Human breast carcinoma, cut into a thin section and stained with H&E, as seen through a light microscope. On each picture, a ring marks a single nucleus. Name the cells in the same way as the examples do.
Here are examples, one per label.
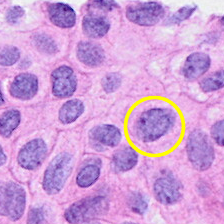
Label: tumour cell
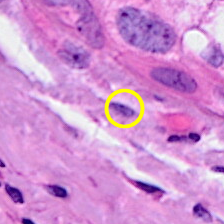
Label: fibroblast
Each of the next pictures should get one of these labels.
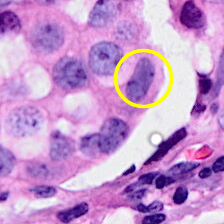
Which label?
tumour cell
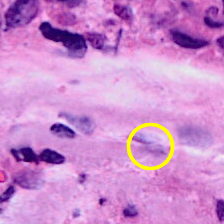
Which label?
fibroblast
